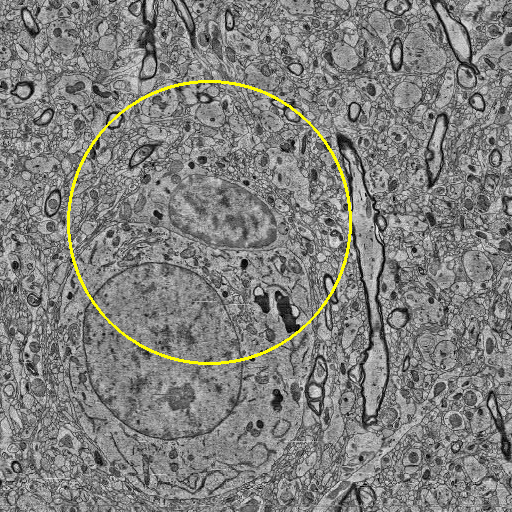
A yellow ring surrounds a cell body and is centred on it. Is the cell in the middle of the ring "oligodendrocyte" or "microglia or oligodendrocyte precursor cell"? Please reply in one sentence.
The ring is centred on an oligodendrocyte.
